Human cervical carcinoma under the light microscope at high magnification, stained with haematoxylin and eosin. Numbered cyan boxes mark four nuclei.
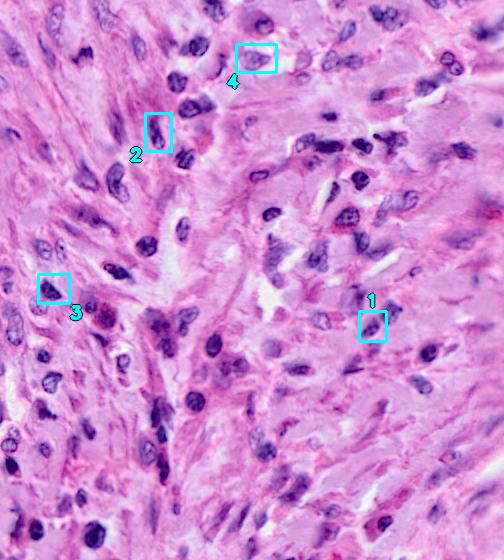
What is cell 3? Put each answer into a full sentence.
The cell assigned the number 3 is a lymphocyte.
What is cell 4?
Cell number 4 in this section is a macrophage or monocyte.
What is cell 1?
Among the marked nuclei, number 1 belongs to a lymphocyte.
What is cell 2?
The nucleus labelled 2 belongs to a lymphocyte.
